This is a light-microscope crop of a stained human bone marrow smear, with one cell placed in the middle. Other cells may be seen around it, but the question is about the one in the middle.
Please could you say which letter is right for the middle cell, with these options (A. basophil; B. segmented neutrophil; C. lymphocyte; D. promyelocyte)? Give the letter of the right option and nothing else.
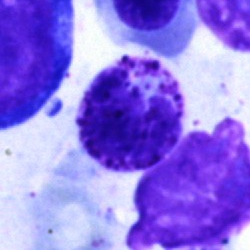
A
